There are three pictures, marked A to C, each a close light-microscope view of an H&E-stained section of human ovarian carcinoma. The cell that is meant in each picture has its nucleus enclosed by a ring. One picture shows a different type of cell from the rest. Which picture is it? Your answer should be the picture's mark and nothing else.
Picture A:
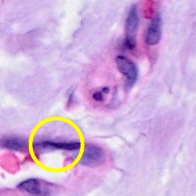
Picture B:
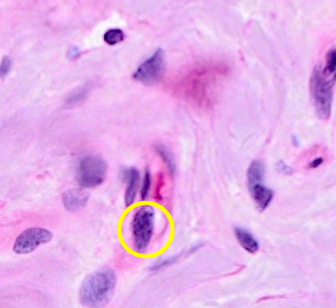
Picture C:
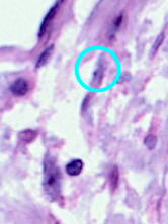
C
